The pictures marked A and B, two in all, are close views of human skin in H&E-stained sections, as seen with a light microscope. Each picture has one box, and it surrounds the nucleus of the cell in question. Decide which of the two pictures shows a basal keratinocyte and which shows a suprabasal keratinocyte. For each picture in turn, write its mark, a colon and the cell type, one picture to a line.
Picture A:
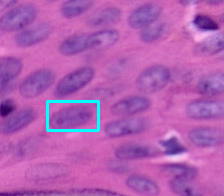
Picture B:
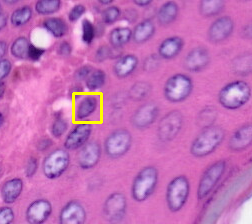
A: suprabasal keratinocyte
B: basal keratinocyte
